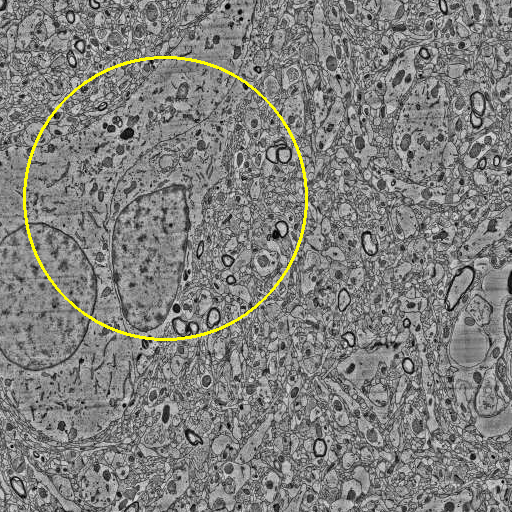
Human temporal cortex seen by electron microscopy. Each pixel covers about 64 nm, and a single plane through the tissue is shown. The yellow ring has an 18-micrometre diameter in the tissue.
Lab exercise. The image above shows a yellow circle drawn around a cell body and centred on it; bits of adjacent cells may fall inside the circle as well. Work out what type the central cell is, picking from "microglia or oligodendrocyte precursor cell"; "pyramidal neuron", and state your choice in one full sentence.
In the image above, the cell at the centre of the yellow circle is a microglial cell or oligodendrocyte precursor cell.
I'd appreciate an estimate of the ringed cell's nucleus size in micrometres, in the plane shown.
About 10 by 5 micrometres in this plane; clearly longer than it is wide.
